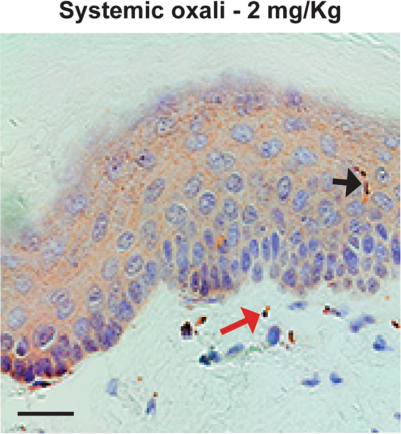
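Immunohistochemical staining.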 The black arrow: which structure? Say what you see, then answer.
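The arrow points to a short dark brown stained segment. It lies within the layered epidermal cells near the surface. So: Intra−epidermal nerve fibers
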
